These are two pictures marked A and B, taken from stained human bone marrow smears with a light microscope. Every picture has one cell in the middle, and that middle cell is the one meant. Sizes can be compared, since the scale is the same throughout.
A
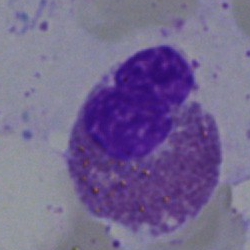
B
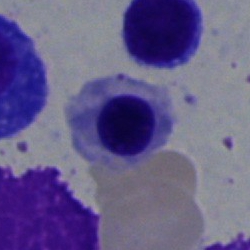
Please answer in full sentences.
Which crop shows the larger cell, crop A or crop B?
It is the cell in crop A, about 3 times as large in area as the cell in crop B.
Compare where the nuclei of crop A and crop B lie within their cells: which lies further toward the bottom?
In crop B the nucleus is shifted more toward the bottom.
